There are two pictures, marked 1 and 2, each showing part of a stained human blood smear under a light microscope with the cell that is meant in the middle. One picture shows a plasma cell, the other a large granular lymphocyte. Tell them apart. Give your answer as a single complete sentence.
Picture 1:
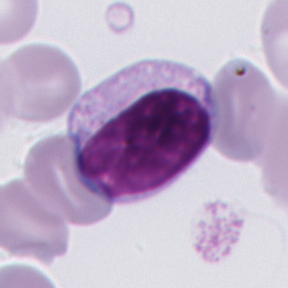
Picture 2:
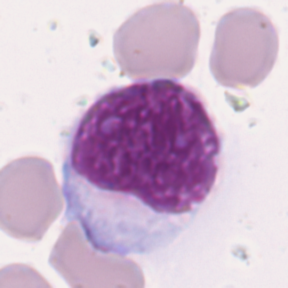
Picture 1 shows a large granular lymphocyte and picture 2 shows a plasma cell.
